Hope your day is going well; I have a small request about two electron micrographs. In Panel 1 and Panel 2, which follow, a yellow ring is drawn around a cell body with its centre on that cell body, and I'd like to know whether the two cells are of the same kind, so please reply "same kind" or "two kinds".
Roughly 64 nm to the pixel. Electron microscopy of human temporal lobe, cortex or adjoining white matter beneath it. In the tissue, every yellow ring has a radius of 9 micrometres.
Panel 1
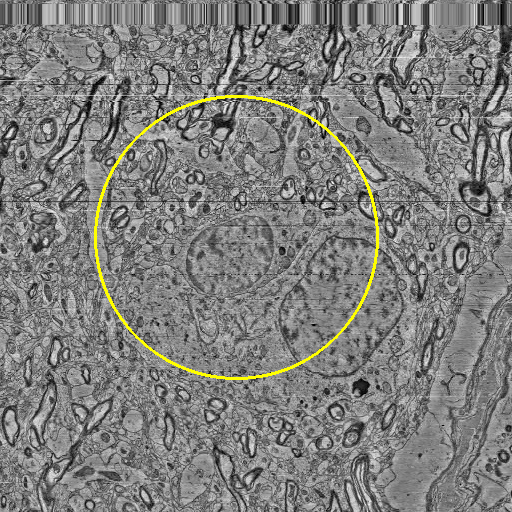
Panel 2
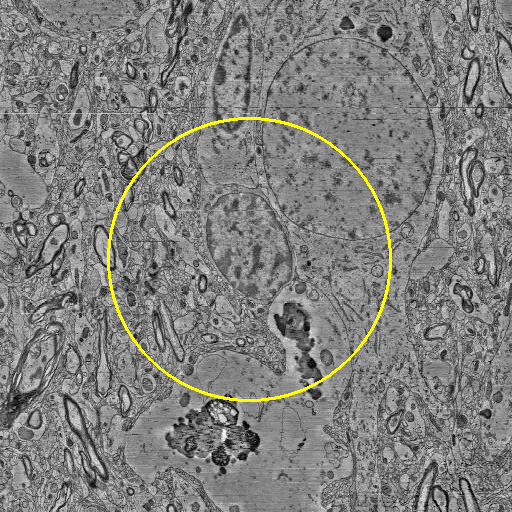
same kind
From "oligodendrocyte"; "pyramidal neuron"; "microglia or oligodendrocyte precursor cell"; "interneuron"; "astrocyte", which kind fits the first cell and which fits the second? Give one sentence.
The first and the second cell are each an oligodendrocyte.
